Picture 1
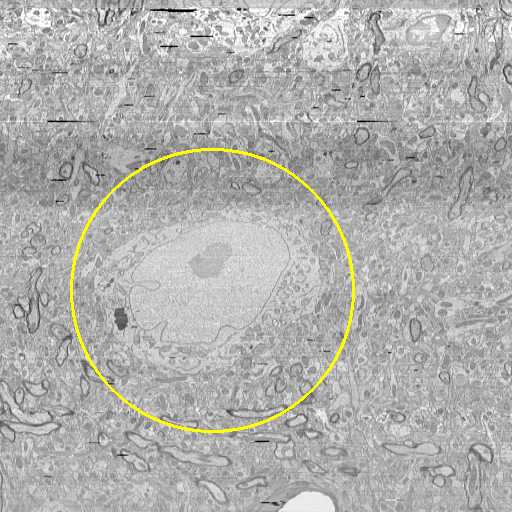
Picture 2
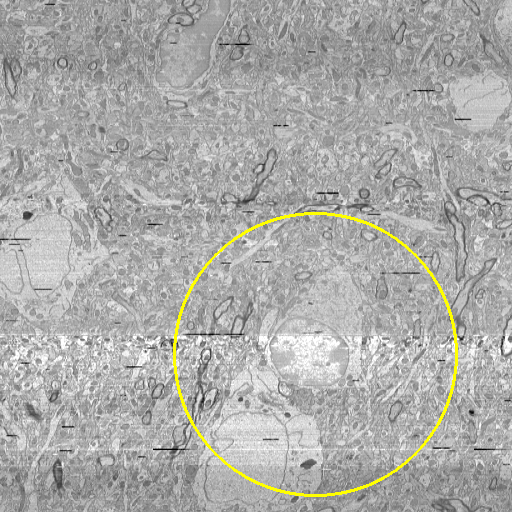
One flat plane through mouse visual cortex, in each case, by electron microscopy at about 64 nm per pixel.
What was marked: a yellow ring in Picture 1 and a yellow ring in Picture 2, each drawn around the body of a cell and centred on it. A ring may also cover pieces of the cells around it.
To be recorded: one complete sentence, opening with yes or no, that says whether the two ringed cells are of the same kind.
No, the two ringed cells are of two kinds.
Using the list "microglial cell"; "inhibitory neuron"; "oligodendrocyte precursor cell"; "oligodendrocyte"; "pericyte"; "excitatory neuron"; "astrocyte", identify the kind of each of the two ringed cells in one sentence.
The first is an excitatory neuron and the second is an oligodendrocyte.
